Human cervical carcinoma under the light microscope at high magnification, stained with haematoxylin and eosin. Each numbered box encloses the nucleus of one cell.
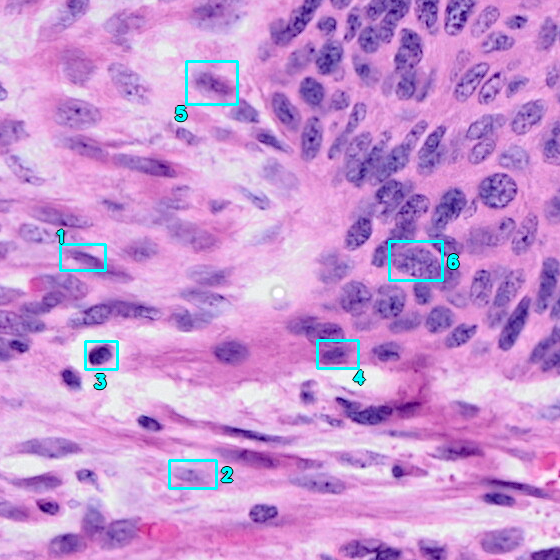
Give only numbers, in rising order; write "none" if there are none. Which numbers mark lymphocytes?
3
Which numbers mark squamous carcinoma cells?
4, 6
